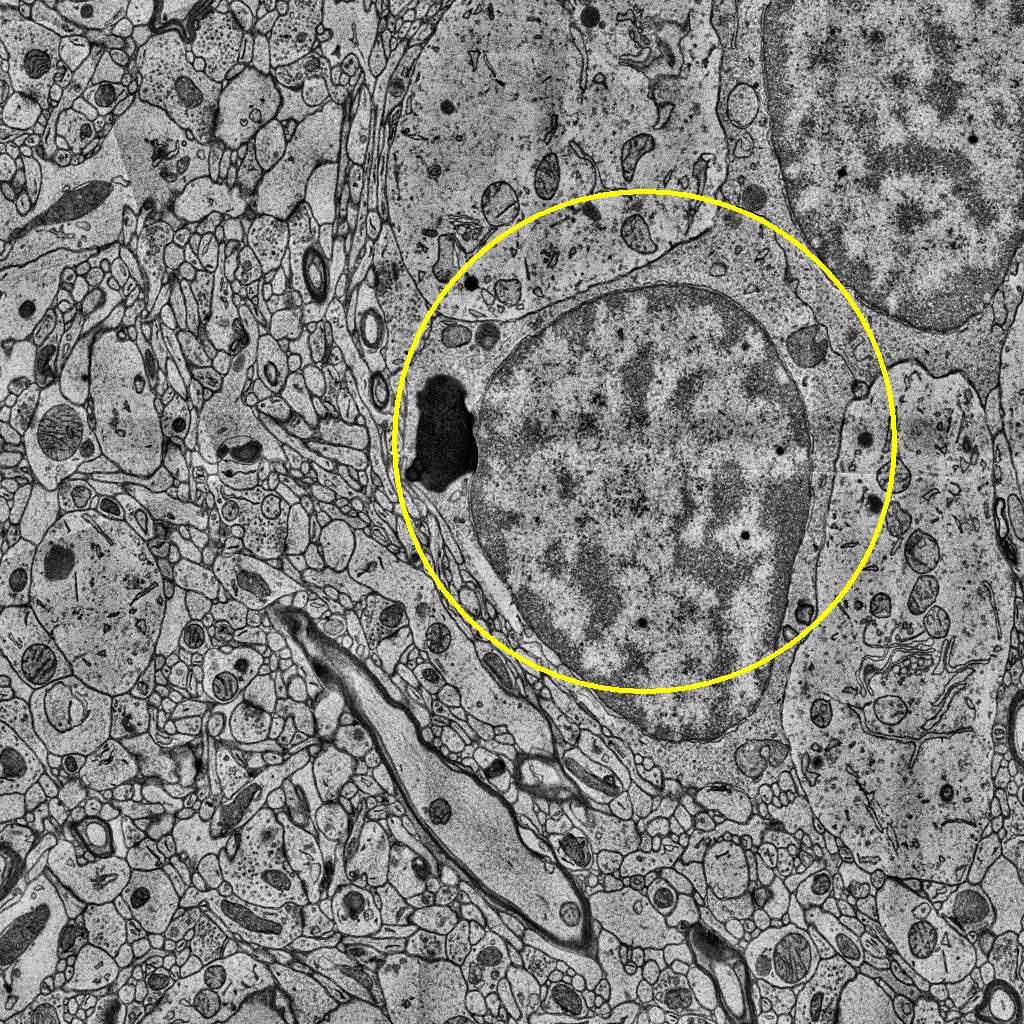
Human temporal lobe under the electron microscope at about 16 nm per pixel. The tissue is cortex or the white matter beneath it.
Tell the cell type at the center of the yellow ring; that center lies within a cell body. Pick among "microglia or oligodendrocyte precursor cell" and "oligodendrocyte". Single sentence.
The ring's center lies in the body of an oligodendrocyte.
